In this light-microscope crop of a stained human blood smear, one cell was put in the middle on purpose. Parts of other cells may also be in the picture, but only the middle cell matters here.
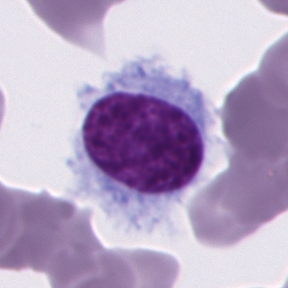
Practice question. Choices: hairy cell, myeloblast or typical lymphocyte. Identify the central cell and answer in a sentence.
Here the centrally located cell is a hairy cell.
